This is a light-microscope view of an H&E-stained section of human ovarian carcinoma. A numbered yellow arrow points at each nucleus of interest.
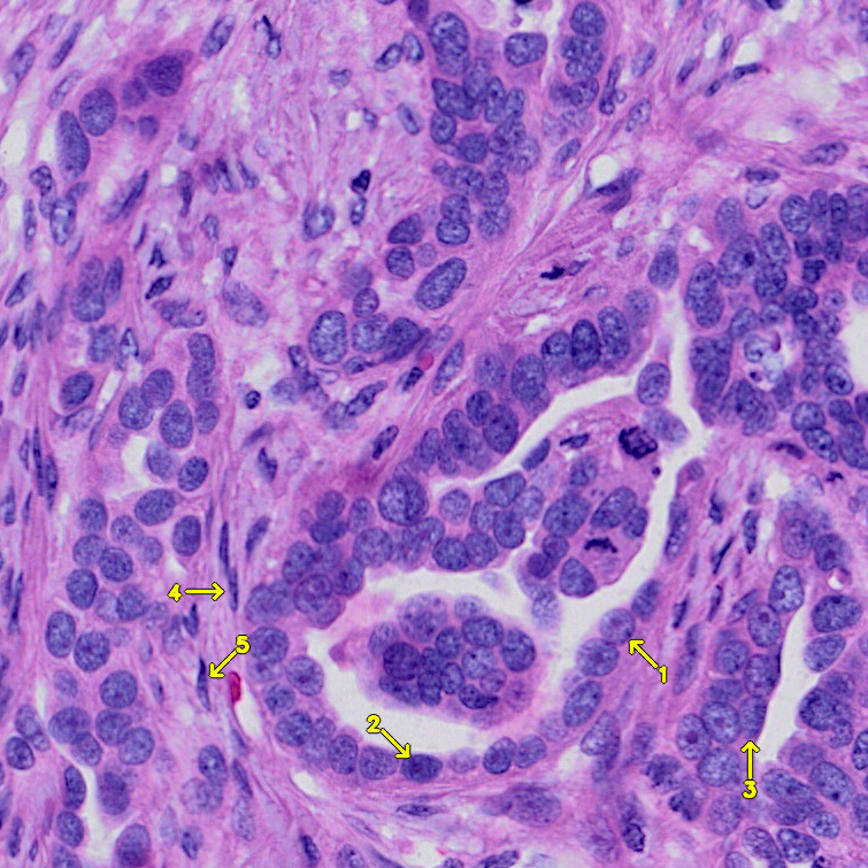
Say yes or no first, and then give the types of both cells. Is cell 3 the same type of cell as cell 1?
Yes, both are carcinoma cells.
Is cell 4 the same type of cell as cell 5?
Yes, both are fibroblasts.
